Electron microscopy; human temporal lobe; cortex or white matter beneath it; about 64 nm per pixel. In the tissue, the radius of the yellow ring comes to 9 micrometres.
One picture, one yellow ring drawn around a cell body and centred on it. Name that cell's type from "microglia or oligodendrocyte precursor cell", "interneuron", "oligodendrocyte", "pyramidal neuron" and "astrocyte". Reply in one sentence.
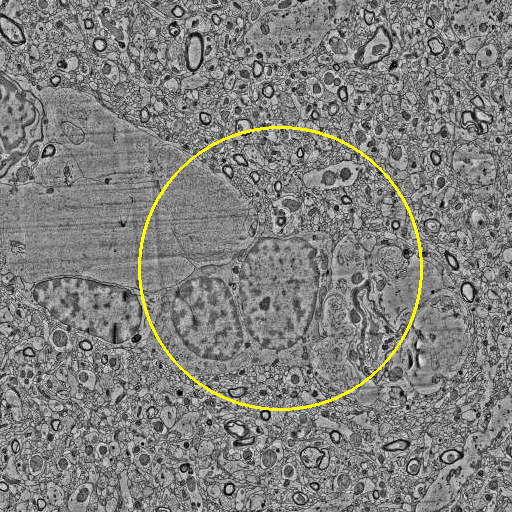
Centred in the ring is an oligodendrocyte.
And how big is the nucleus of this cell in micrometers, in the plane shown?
In this plane the nucleus is about 7 micrometres by 5.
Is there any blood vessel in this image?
Yes, the image shows a blood vessel.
